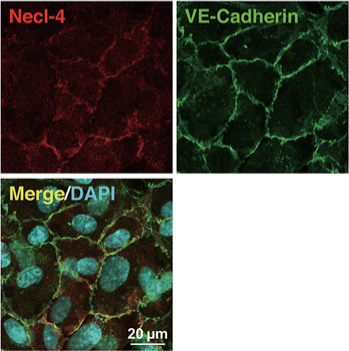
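Thin green lines outline every cell, marking the borders where neighbouring cells touch. The red signal also follows these borders as fine lines, with a fainter haze over the cell bodies. In the merged image the red and green lines overlap along the cell–cell contacts, giving yellow-orange borders.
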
